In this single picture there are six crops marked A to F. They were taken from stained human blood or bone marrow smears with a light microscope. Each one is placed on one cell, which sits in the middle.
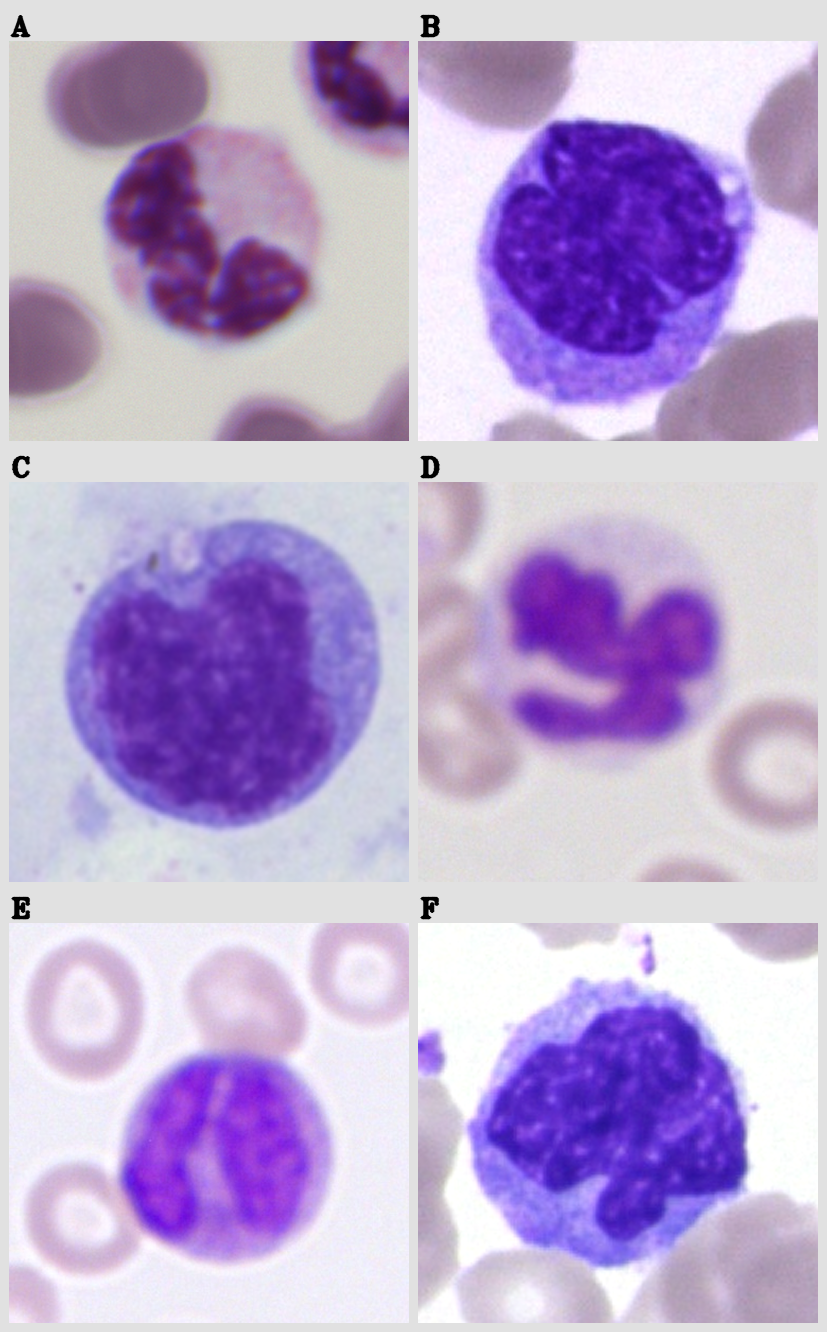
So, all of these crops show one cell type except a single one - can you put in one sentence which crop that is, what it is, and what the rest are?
The set is made up of monocytes, with the single exception of crop A, which is a segmented neutrophil.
